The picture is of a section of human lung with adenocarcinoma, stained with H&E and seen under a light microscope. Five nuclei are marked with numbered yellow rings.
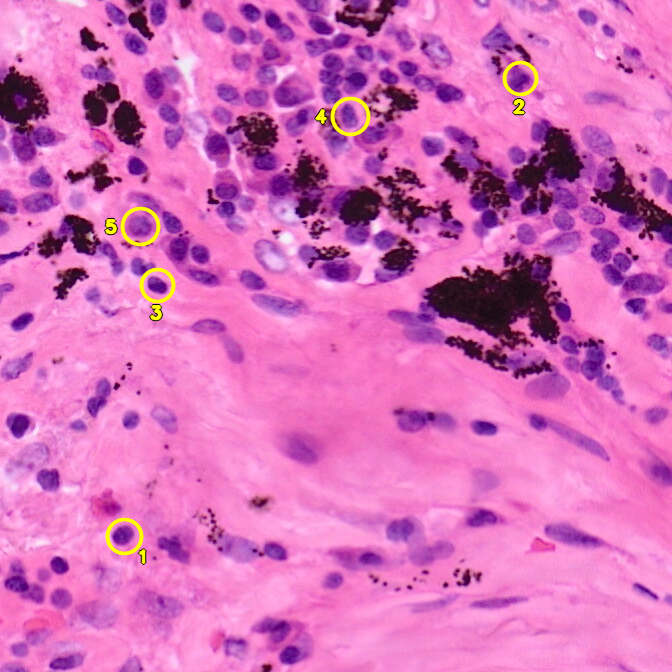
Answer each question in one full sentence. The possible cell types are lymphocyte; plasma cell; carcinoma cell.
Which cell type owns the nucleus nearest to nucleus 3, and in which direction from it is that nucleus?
The closest nucleus belongs to a lymphocyte and sits above and to the left of nucleus 3.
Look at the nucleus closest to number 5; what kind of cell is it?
Closest to number 5 lies the nucleus of a plasma cell.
